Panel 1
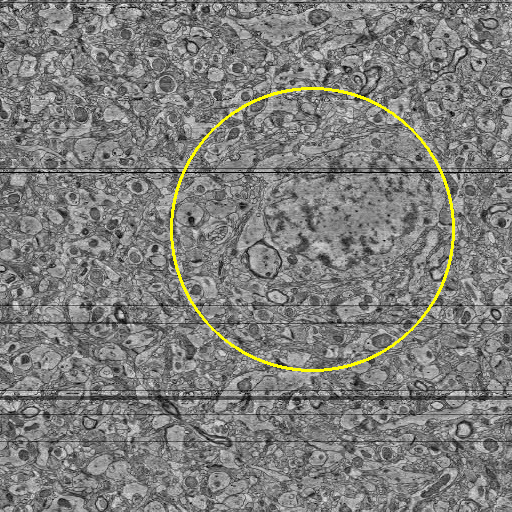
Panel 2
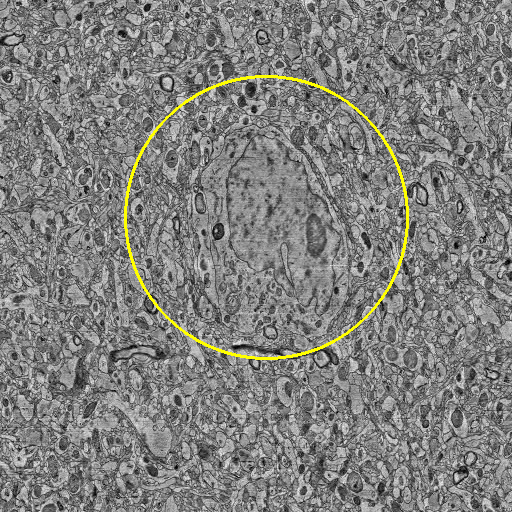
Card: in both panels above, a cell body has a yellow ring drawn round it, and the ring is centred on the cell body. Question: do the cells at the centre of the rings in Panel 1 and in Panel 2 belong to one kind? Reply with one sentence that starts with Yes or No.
Yes, the cells centred in the rings of Panel 1 and Panel 2 are one kind of cell.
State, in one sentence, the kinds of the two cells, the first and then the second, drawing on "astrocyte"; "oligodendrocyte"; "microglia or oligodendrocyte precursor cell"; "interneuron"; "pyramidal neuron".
Both the first and the second picture show an interneuron in the ring.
